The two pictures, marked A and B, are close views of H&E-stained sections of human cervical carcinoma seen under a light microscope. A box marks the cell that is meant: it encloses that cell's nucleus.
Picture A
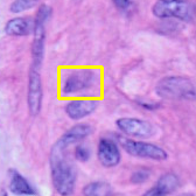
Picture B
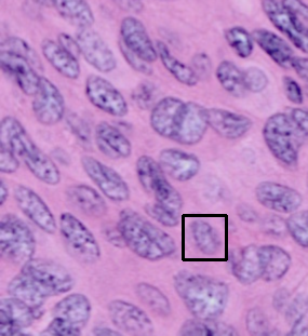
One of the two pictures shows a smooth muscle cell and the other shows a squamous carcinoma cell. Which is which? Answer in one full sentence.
Picture A shows a smooth muscle cell and picture B shows a squamous carcinoma cell.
